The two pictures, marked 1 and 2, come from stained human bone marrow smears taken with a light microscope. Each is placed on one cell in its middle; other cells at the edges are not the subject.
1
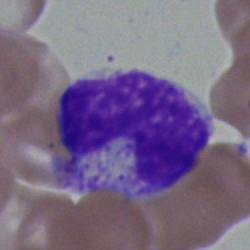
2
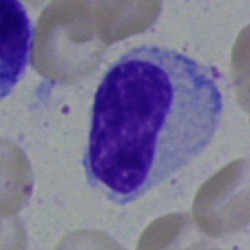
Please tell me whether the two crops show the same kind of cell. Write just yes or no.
yes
